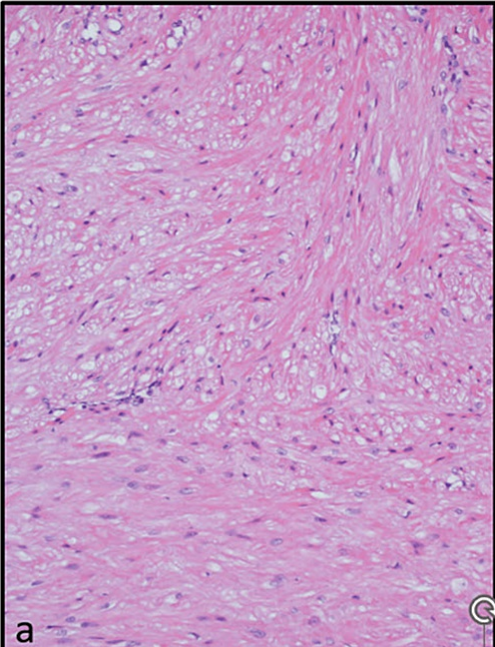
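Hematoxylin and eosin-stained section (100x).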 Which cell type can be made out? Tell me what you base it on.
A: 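Bland spindle cell. Elongated cells with tapering ends. Cytoplasm is pink.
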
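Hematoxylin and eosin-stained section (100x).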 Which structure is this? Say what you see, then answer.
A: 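Intersecting fascicles. Bundles of spindle cells run in different directions. Some bundles are cut lengthwise and others crosswise, showing round profiles.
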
